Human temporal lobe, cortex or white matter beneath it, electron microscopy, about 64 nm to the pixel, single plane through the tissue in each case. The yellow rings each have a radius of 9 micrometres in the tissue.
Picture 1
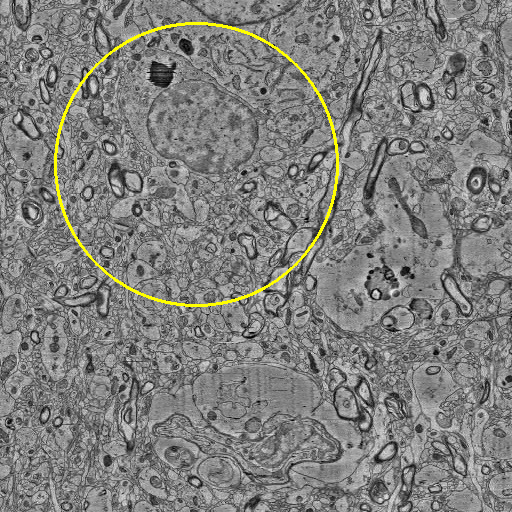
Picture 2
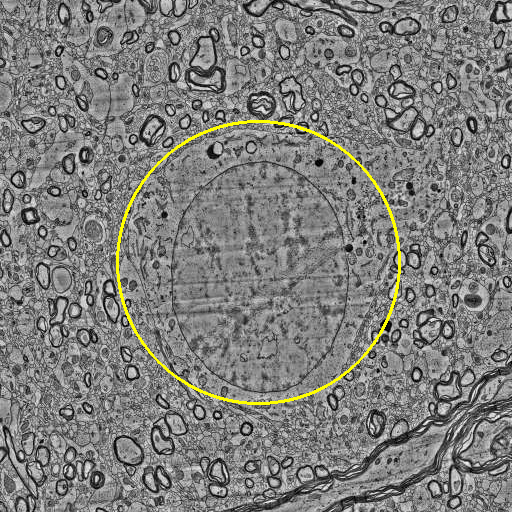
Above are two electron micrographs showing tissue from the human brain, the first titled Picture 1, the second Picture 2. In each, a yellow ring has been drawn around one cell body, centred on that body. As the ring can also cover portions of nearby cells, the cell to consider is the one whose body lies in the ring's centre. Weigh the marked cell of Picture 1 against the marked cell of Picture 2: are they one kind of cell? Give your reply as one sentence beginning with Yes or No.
No, the two cells sitting at the ring centres in the pictures are of two kinds.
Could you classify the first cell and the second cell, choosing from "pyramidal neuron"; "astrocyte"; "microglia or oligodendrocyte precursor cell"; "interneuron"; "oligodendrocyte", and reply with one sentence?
The second cell is a pyramidal neuron, while the first is an oligodendrocyte.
